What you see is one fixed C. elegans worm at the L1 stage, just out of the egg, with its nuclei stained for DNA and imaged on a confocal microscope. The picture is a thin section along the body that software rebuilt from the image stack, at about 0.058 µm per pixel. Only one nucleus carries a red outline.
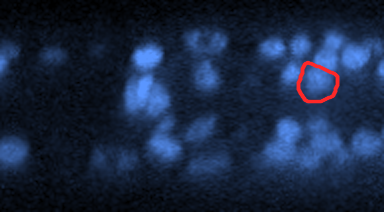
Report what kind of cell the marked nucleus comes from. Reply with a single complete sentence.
The marked nucleus belongs to a pharyngeal muscle cell.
